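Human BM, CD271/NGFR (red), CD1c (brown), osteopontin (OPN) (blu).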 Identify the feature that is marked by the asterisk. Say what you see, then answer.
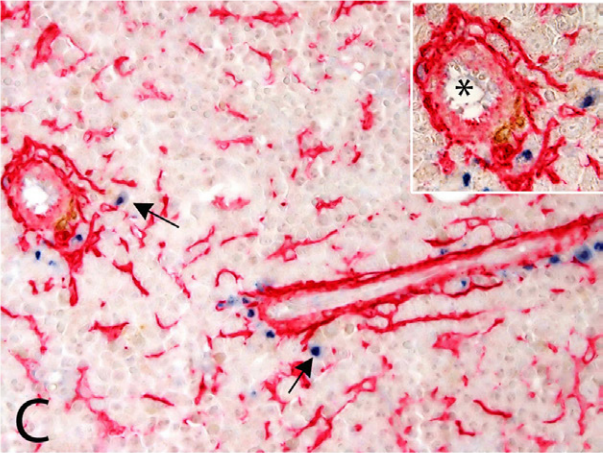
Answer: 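Vessel. The asterisk lies in a round lumen. The lumen is ringed by a concentric wall with red-stained layers.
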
